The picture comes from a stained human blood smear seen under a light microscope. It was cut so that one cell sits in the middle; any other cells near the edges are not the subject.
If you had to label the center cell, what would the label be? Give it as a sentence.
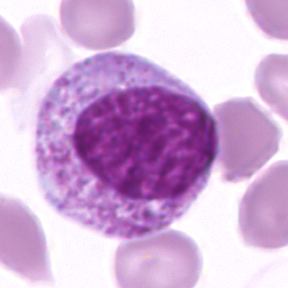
The target cell in the middle of the crop is a myelocyte.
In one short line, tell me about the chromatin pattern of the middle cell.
In this cell the chromatin is fine rather than coarsely clumped.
